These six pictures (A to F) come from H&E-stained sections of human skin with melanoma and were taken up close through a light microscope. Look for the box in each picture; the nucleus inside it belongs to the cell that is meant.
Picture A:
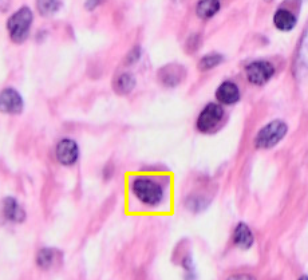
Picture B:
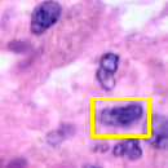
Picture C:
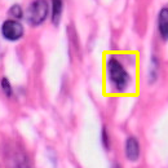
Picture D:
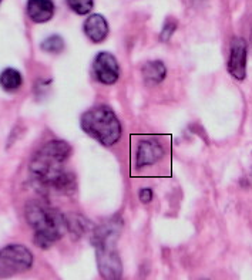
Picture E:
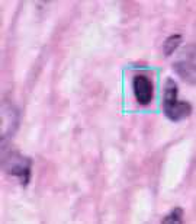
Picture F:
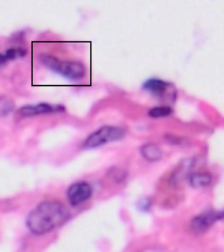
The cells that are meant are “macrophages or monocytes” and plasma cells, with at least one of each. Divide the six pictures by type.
A: plasma cell
B: macrophage or monocyte
C: plasma cell
D: macrophage or monocyte
E: plasma cell
F: macrophage or monocyte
